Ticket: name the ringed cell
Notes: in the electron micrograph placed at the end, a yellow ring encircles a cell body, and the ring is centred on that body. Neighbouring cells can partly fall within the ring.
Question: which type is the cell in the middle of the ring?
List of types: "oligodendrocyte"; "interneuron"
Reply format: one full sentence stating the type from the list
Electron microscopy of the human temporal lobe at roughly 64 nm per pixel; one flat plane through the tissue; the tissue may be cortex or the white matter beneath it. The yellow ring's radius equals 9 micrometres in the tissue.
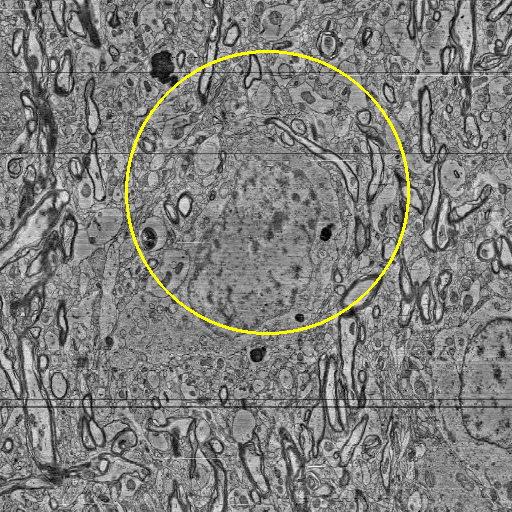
The cell sitting at the centre of the yellow ring is an interneuron.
